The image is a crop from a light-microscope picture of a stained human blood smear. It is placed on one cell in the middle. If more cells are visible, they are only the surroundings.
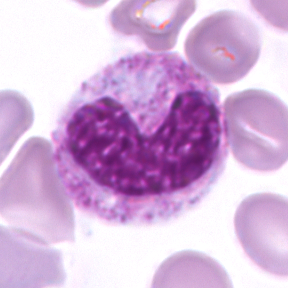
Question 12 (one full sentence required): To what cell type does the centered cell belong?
What sits at the centre of this crop is a band neutrophil.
